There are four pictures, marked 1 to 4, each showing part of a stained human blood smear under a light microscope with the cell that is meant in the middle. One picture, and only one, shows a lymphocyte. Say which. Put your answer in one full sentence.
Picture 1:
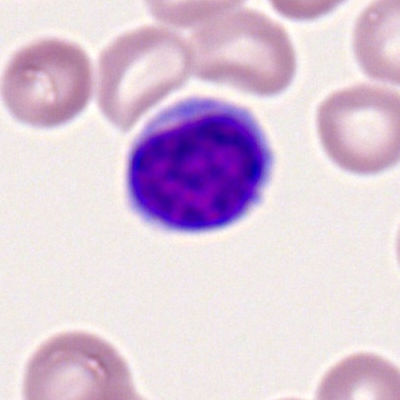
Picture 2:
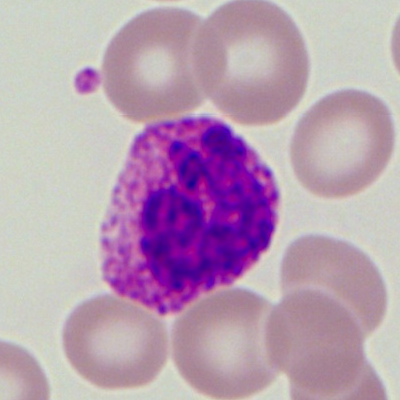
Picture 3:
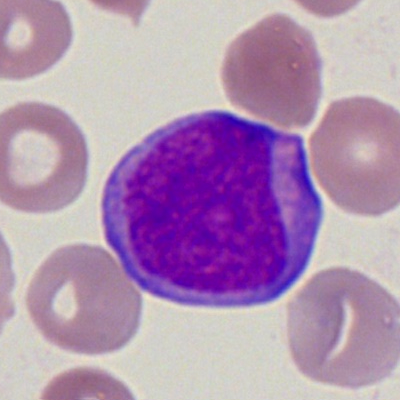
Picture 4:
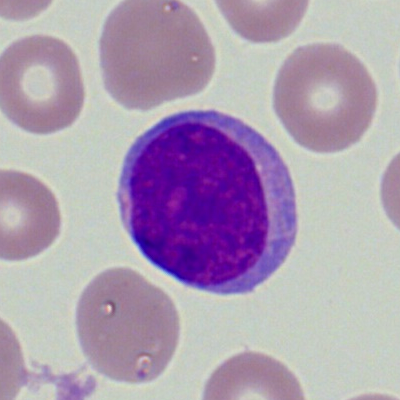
The lymphocyte is the one in picture 1.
